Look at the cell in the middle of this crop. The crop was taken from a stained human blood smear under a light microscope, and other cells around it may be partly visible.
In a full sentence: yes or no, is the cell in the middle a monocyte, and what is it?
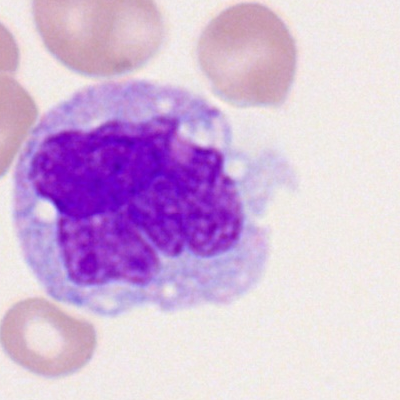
Yes, the cell in the center of the field is a monocyte.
